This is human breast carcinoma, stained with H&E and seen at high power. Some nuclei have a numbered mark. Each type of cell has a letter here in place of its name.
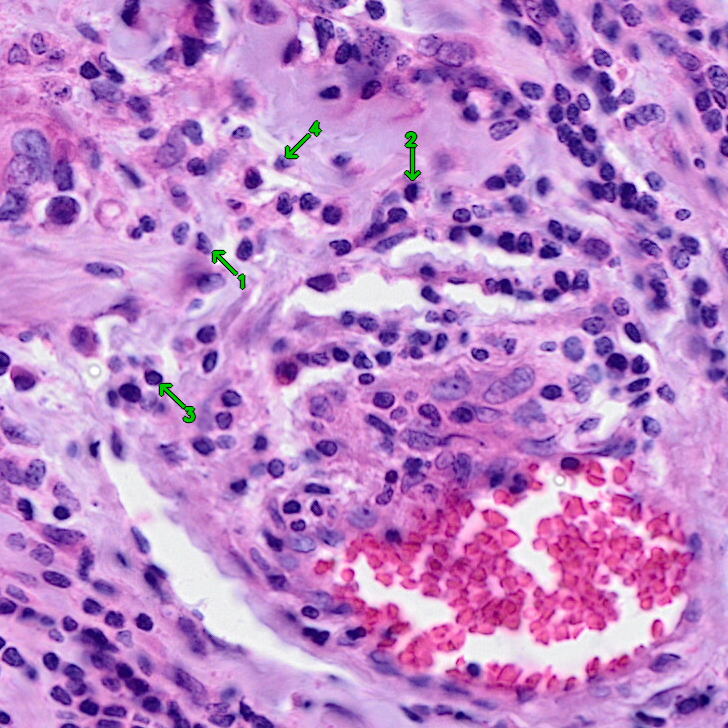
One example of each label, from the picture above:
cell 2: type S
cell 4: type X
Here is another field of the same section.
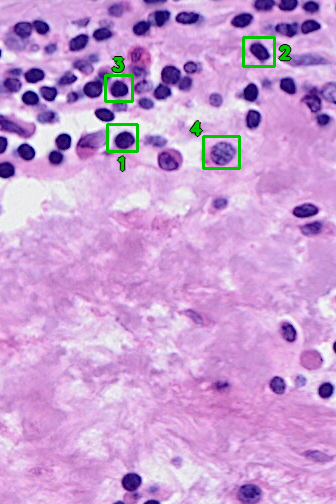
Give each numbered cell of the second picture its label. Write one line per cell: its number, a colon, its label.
1: type S
2: type S
3: type S
4: type X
